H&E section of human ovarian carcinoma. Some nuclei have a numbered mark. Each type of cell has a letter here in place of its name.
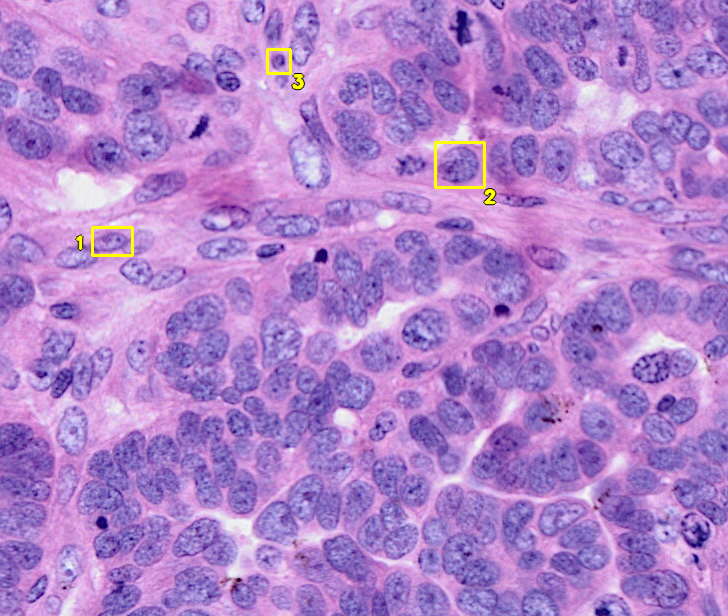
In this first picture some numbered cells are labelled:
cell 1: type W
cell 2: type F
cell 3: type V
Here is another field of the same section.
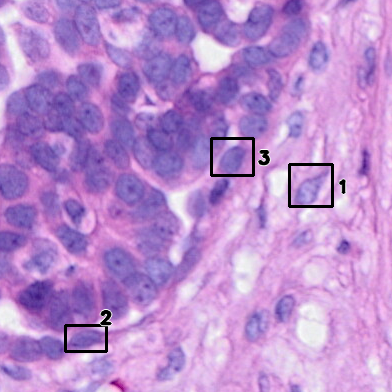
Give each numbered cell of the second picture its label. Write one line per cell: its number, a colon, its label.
1: type W
2: type F
3: type F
